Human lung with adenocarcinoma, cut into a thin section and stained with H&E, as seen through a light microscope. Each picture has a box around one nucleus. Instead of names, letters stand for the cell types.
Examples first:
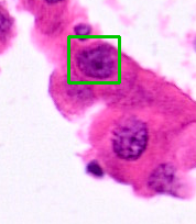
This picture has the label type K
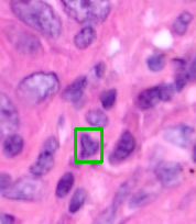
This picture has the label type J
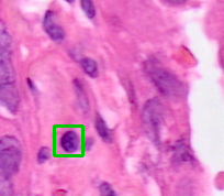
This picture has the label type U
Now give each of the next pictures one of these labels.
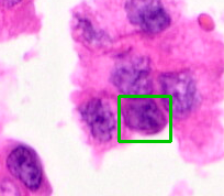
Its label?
type K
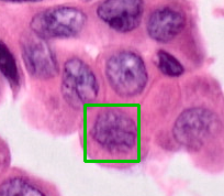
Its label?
type K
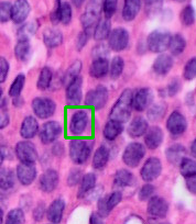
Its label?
type U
